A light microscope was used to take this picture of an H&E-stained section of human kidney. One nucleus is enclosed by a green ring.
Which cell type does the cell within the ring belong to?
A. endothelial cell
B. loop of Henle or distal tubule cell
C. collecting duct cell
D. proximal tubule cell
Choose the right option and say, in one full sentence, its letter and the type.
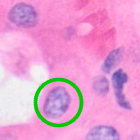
Given that the cell within the ring is a loop of Henle or distal tubule cell, option B is the correct one.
